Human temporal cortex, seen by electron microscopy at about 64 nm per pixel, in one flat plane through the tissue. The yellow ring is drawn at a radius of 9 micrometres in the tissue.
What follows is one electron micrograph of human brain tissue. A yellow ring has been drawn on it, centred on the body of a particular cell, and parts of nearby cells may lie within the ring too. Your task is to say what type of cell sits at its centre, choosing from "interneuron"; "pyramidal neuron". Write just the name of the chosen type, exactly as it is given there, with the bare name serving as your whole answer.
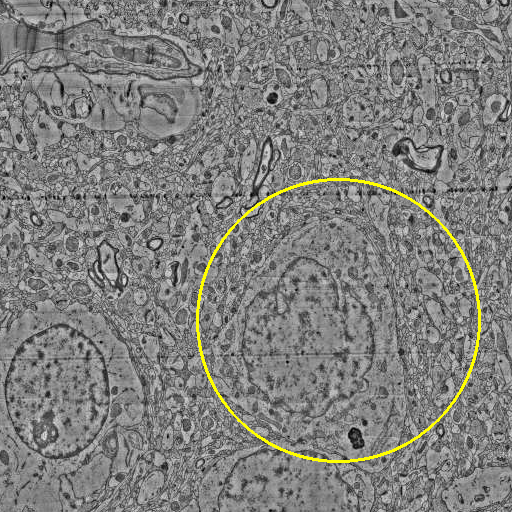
interneuron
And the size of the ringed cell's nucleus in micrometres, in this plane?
Approximately 9 micrometres across, in this plane.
